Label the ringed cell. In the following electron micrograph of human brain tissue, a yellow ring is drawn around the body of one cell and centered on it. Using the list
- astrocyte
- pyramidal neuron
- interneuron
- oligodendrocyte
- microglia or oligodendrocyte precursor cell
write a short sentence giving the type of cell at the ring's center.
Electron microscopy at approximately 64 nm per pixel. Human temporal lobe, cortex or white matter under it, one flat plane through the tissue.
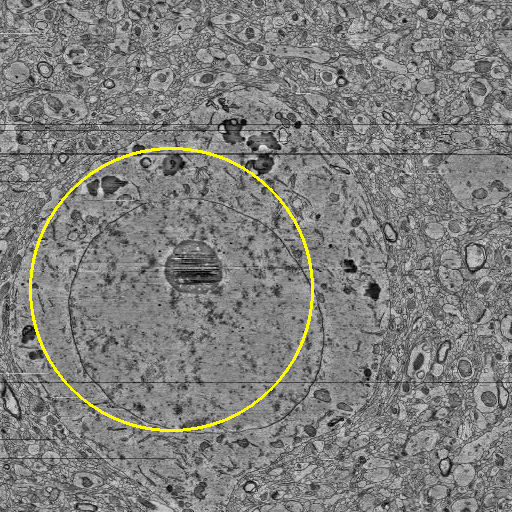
The cell body at the ring's center is that of a pyramidal neuron.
